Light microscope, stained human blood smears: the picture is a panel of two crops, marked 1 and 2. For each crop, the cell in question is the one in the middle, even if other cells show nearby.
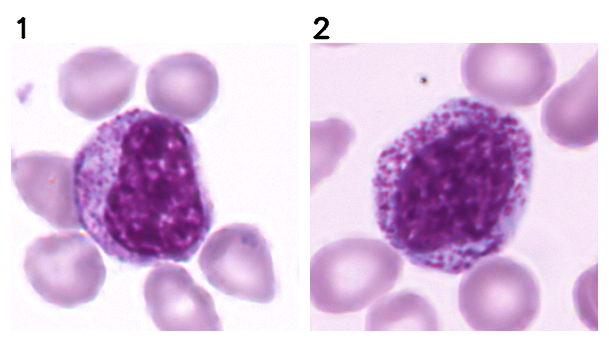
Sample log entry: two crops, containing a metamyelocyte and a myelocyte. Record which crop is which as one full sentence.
Well, crop 1 is a metamyelocyte, and crop 2 is a myelocyte.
